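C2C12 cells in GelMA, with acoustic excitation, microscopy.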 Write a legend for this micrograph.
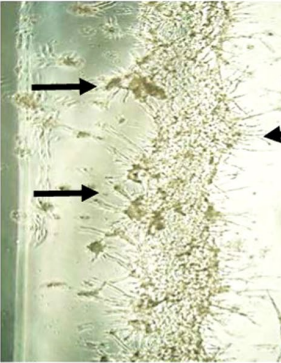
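Thin cell processes extend outward from the edges of the band into the surrounding gel. Several darker, compact cell clusters sit along the left margin of the band. A few isolated elongated cells lie scattered in the gel away from the band.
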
